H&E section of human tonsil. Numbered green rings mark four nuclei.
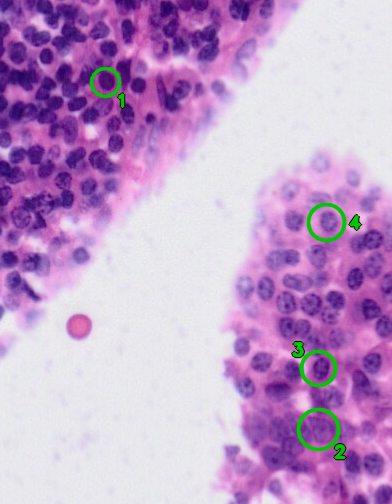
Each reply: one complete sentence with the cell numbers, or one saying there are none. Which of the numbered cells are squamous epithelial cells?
Only one marked cell, number 2, is a squamous epithelial cell.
